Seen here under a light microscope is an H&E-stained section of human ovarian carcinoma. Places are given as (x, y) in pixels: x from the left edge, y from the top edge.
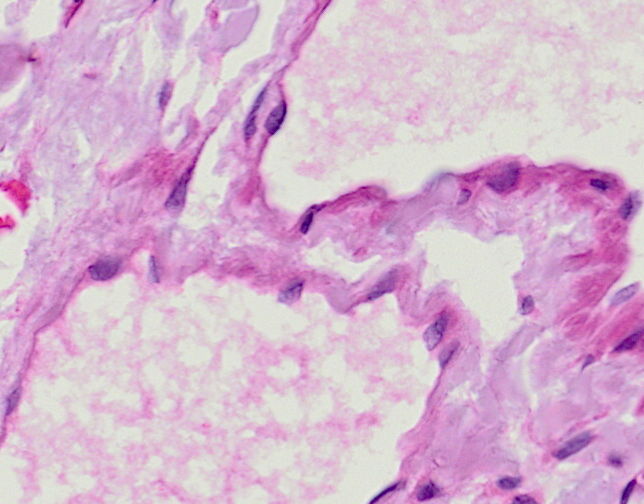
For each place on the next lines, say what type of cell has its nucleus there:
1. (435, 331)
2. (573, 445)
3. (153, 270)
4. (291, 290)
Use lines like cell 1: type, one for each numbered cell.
cell 1: endothelial cell
cell 2: fibroblast
cell 3: endothelial cell
cell 4: endothelial cell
